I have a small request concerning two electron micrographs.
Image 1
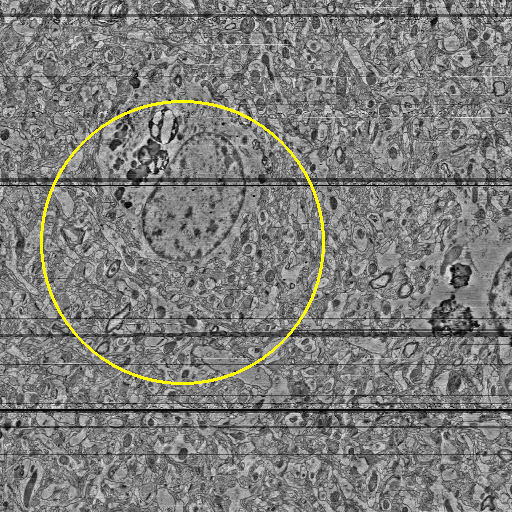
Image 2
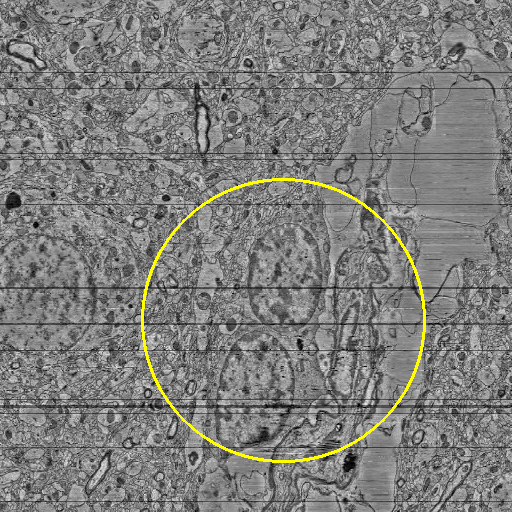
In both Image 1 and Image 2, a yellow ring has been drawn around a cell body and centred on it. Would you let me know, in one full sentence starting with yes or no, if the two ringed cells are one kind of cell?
No, the cells ringed in Image 1 and Image 2 are two kinds of cell.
